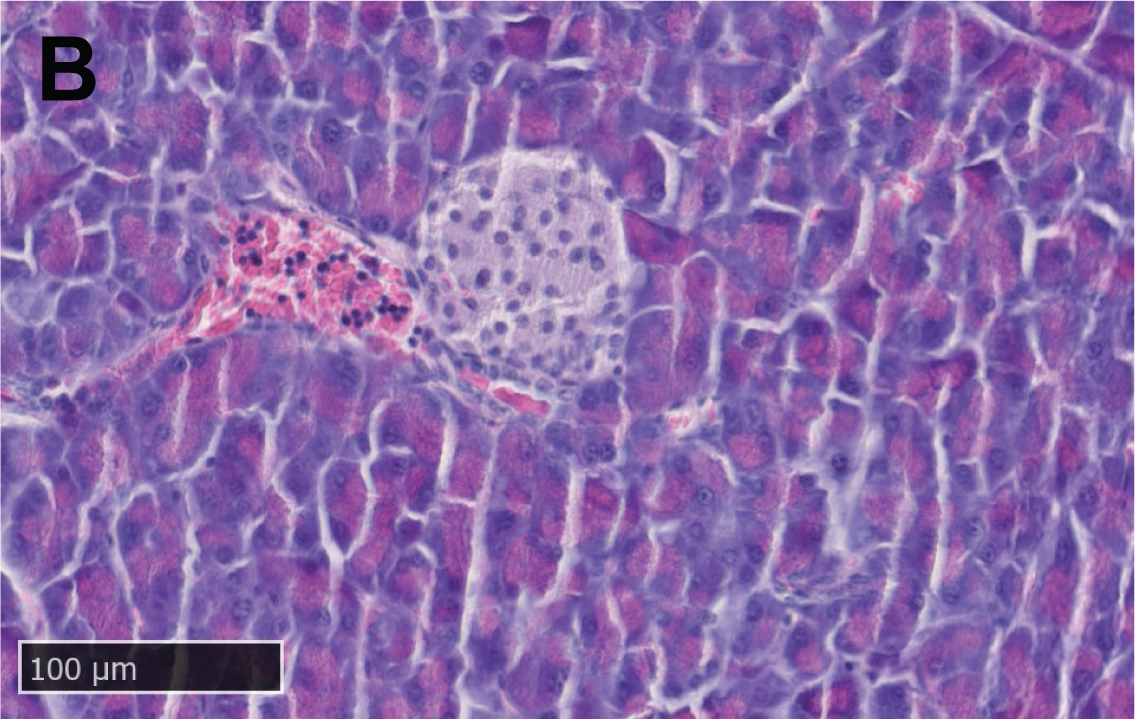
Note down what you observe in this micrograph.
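Pancreas with exocrine acini surrounding a small pale islet. The acinar cells are pyramidal, with dark purple basal cytoplasm and pink-red granular apical parts, separated by thin white clefts. The islet is a round cluster of smaller cells with pale pink cytoplasm and round dark nuclei, clearly lighter than the acini around it. Beside the islet lies a strand of connective tissue containing red blood cells and scattered small dark nuclei.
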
